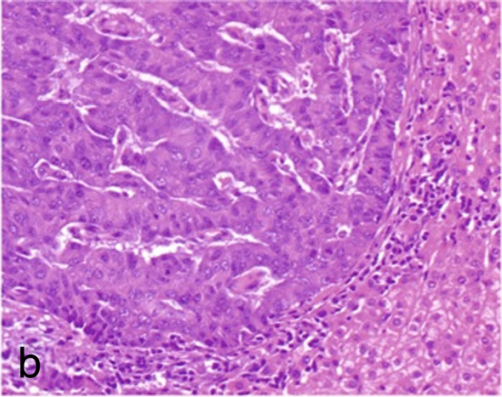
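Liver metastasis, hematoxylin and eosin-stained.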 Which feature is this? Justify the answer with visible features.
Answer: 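Trabecular formations. Tumor cells are arranged in thick anastomosing cords and ribbons. Narrow slit-like spaces separate the cords of cells.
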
